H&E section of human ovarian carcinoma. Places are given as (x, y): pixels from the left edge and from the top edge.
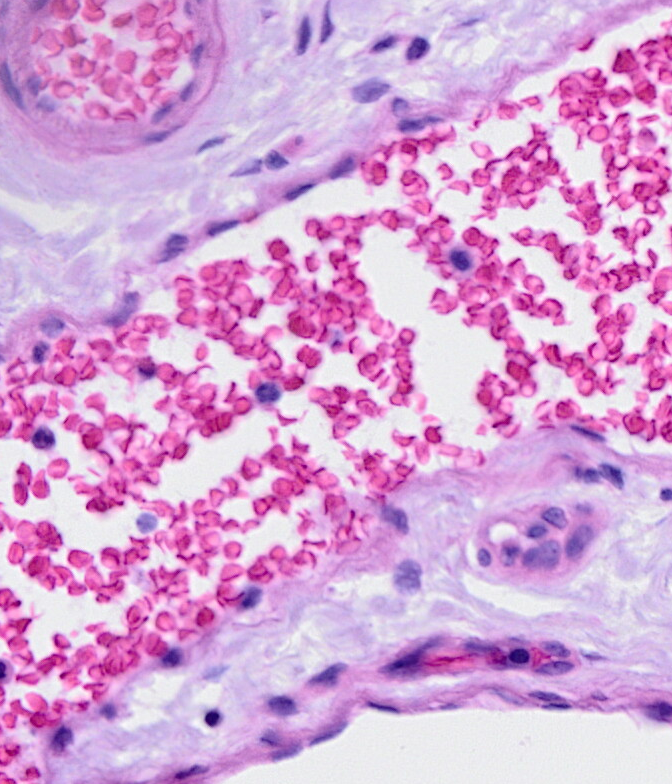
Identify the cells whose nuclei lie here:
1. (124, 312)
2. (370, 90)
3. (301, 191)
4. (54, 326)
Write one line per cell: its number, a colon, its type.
1: endothelial cell
2: fibroblast
3: endothelial cell
4: endothelial cell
